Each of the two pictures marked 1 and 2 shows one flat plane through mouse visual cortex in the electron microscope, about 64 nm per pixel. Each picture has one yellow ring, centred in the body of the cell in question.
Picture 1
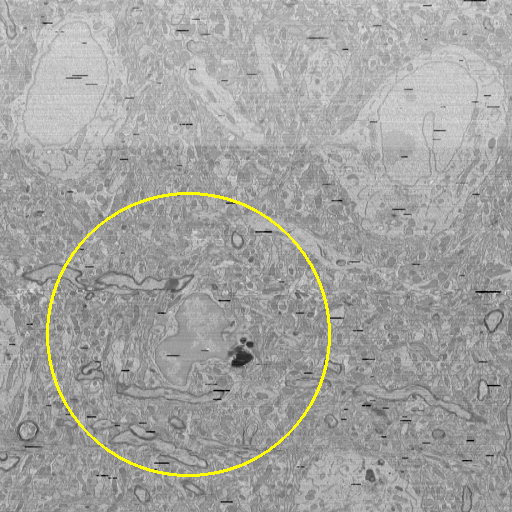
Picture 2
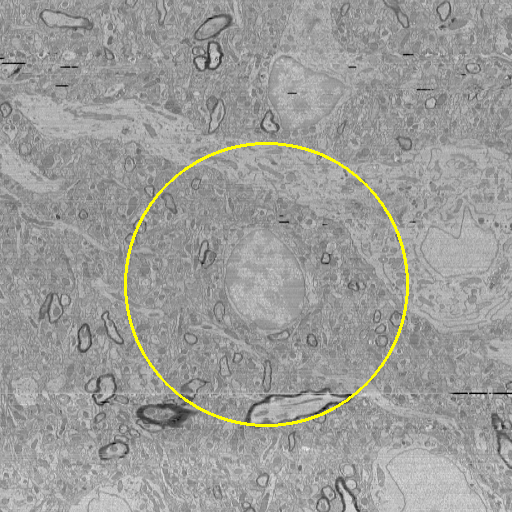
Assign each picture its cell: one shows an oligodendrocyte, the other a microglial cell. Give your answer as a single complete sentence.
The cell in picture 1 is a microglial cell, and the one in picture 2 is an oligodendrocyte.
